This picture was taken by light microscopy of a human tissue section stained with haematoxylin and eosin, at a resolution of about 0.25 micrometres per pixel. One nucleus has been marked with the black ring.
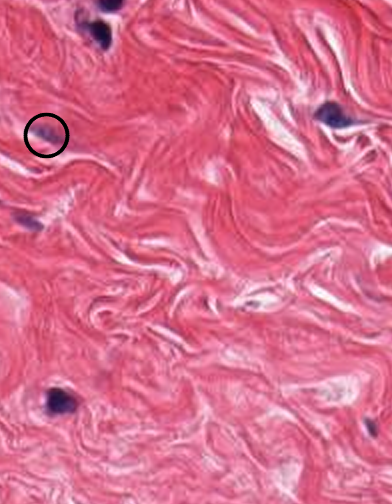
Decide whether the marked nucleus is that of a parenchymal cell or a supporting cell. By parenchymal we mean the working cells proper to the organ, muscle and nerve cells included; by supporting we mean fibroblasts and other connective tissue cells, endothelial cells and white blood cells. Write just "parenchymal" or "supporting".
supporting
